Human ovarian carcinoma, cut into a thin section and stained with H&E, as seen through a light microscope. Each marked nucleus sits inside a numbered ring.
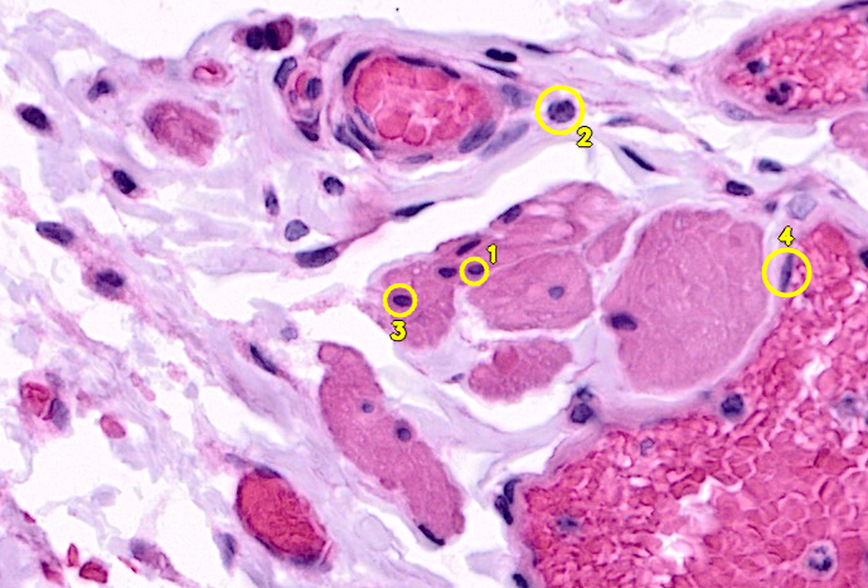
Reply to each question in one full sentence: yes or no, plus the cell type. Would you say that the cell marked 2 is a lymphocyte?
Yes, the cell with its nucleus marked 2 is a lymphocyte.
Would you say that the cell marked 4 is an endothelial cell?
Yes, among the marked cells, the one with number 4 is an endothelial cell.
